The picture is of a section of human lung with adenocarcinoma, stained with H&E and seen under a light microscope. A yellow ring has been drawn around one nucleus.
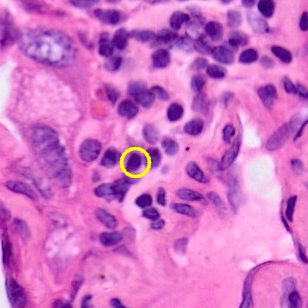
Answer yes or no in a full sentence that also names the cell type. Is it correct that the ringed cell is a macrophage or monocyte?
No, judged by cell type, the ringed cell is a lymphocyte, not a macrophage or monocyte.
